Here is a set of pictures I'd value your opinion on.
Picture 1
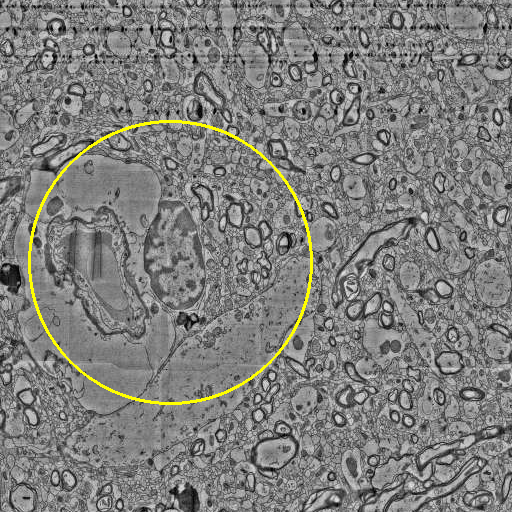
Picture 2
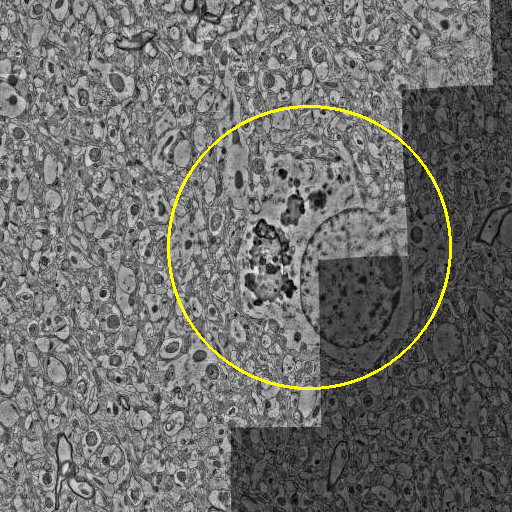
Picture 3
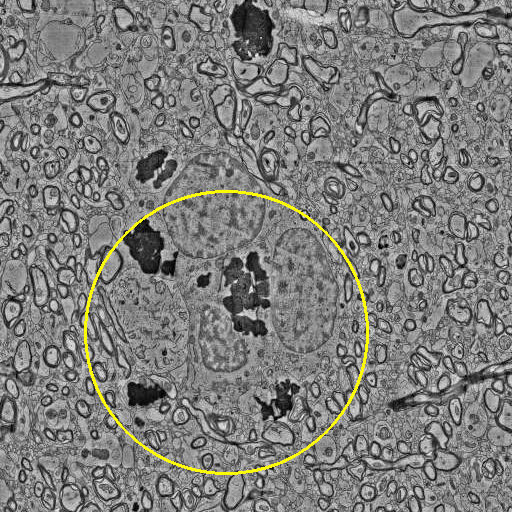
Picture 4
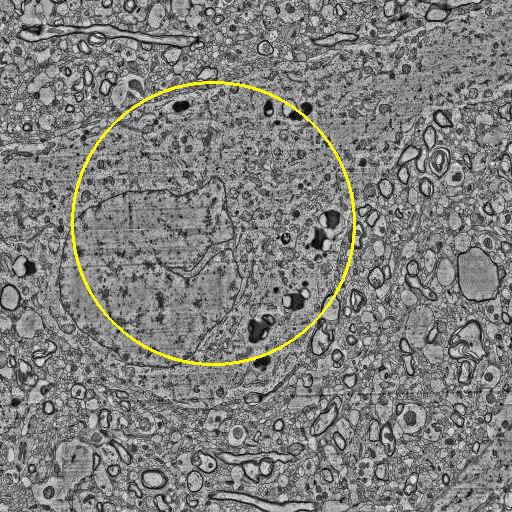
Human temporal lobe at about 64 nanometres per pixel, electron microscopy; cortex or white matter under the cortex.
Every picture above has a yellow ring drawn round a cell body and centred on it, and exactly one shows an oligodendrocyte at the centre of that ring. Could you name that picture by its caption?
Picture 3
